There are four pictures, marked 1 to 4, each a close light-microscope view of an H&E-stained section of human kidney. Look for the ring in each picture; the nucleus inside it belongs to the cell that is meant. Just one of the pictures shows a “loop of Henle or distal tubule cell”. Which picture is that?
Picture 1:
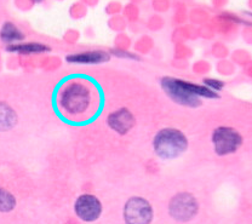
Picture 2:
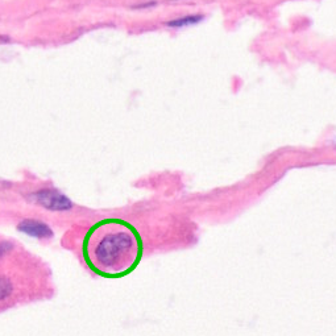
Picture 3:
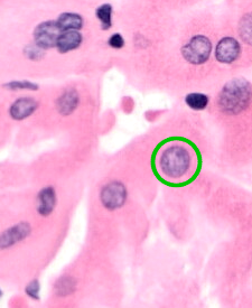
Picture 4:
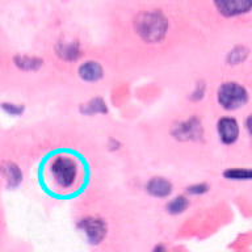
4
